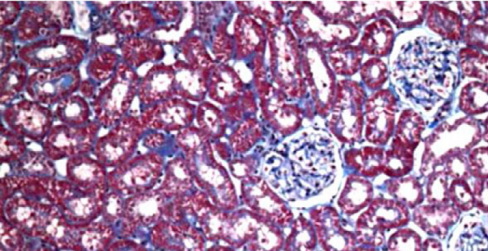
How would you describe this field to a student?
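This is renal cortex with several glomeruli scattered among closely packed tubules. The glomerular tufts hold blue-staining matrix between their capillary loops and sit in clear capsular spaces, while the tubules are lined by red-staining epithelial cells around open lumens, with thin blue strands of interstitium between them.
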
